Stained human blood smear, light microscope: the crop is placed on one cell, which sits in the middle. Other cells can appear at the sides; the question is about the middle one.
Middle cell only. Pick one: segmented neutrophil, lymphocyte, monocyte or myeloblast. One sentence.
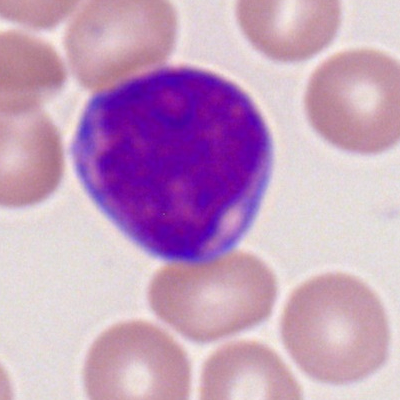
This crop has a myeloblast at its centre.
